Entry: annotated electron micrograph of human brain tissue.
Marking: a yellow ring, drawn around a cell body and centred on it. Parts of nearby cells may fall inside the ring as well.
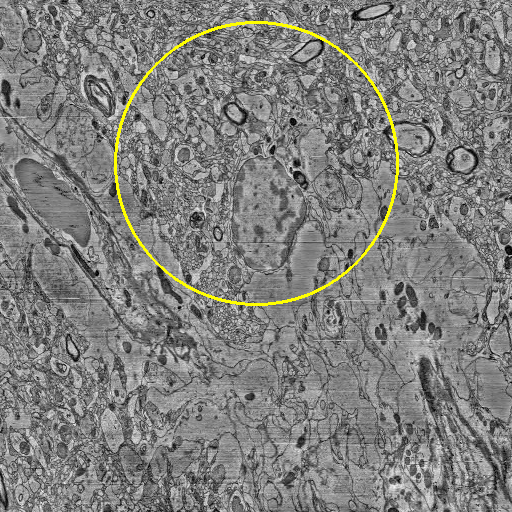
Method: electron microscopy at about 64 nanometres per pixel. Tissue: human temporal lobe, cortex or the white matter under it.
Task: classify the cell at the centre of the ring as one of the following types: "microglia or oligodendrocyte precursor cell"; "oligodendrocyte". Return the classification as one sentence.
The marked cell is classified as a microglial cell or oligodendrocyte precursor cell.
